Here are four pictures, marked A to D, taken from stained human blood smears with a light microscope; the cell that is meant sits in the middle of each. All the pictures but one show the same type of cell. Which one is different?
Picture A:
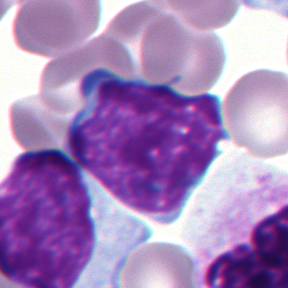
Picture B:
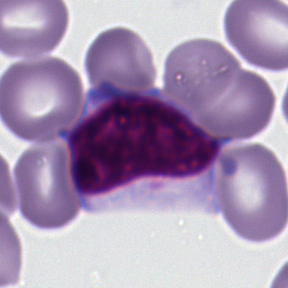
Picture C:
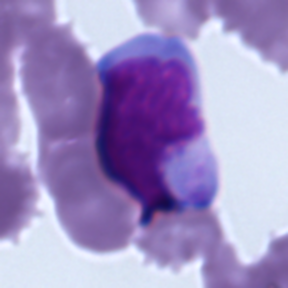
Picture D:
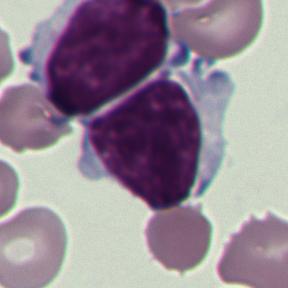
C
